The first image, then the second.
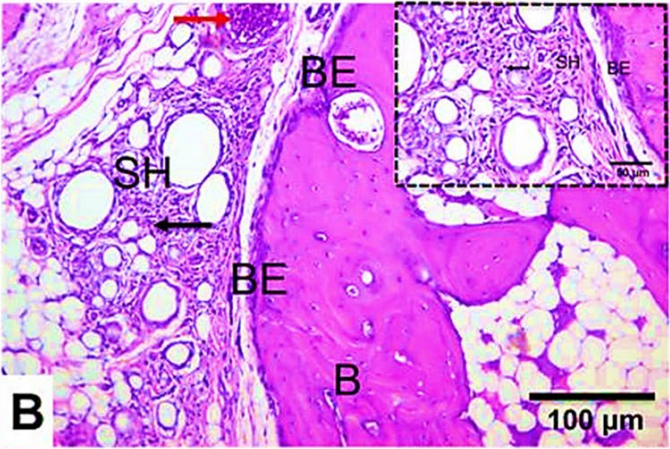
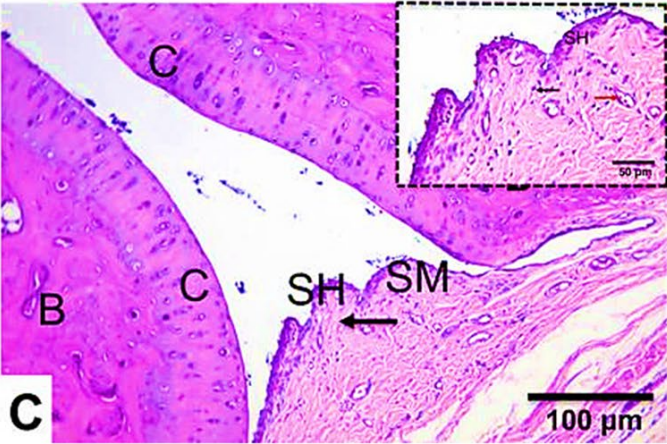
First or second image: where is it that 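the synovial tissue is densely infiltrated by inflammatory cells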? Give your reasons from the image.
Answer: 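Second image: the synovial tissue is mostly pale pink fibrous tissue with scattered nuclei. First image: the soft tissue is crowded with small dark nuclei packed between vessels and fat cells.
Hence: the first image.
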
